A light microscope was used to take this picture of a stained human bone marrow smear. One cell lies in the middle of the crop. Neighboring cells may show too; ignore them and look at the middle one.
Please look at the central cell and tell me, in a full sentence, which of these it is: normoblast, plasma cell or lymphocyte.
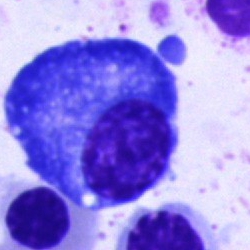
The cell that lies at the centre of the crop is a plasma cell.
